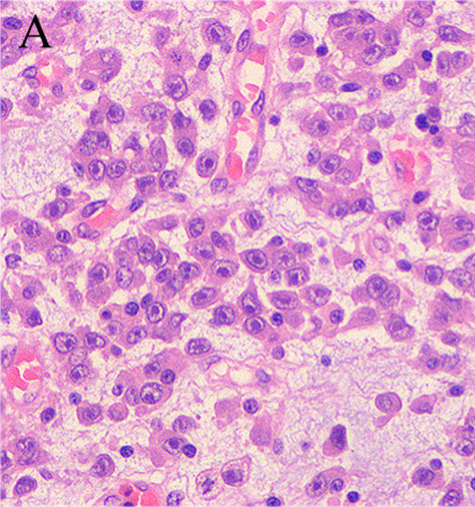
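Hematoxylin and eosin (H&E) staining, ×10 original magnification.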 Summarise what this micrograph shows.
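Plump, rounded to polygonal tumor cells with abundant pink cytoplasm and large oval nuclei lie in loose clusters and cords within a pale, wispy, loose stroma crossed by small blood vessels. Scattered among them are small cells with dense dark round nuclei. This is a diffusely infiltrating tumor of epithelioid cells in a loose mucoid background with inflammatory cells.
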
